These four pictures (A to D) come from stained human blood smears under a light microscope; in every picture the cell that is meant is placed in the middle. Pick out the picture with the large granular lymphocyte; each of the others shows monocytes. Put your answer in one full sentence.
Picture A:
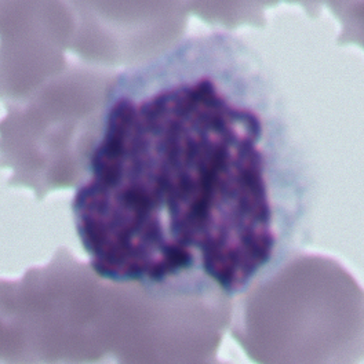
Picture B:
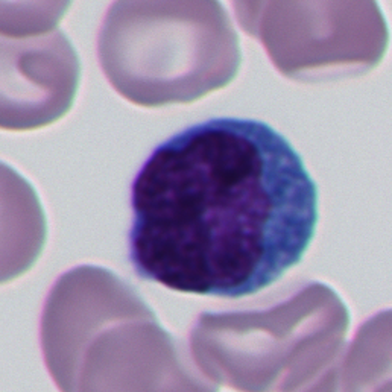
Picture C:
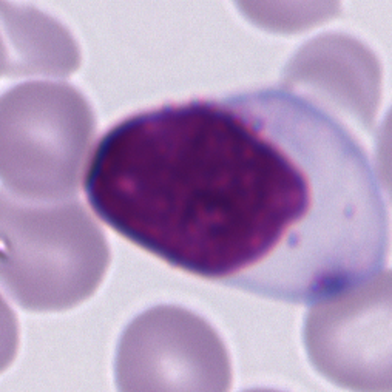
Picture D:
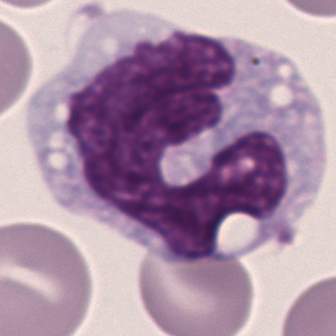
Picture C is the one that shows the large granular lymphocyte.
